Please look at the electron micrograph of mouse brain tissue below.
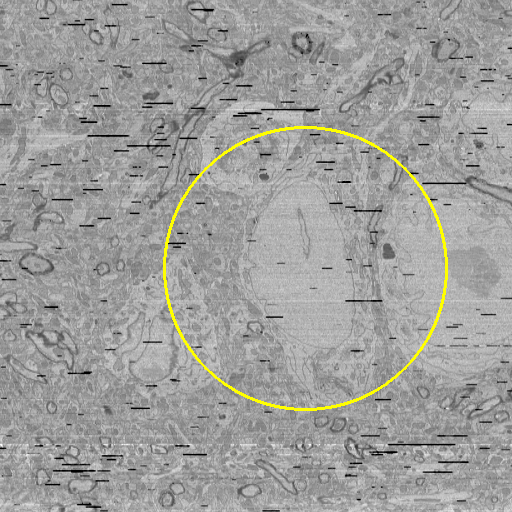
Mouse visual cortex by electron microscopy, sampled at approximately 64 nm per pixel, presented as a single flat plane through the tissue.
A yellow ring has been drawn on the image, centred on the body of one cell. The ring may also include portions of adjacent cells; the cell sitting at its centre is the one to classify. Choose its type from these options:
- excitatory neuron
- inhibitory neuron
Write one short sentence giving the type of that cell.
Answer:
The cell in the middle of the ring is an inhibitory neuron.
